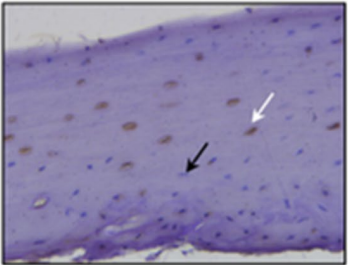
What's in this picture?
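Cortical bone with osteocytes lying singly in small oval lacunae scattered through a dense, homogeneous purple matrix. The cells are elongated, their long axes running roughly parallel to the bone surface. Some cells are stained brown, filling their lacunae; others show only a small blue nucleus without brown colour. Along the lower surface the matrix is more irregular and bluer, with more crowded cells at the edge. The upper edge is a smooth bone surface.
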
